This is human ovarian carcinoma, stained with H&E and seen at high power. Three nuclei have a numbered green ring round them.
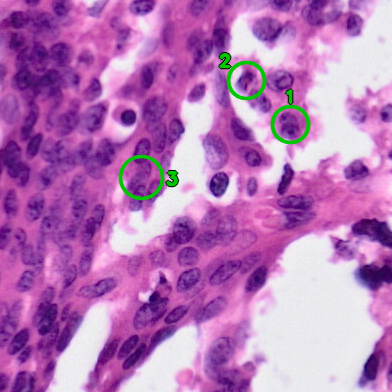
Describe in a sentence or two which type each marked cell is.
Cells 1 and 2 are macrophages or monocytes. Cell 3 is a carcinoma cell.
